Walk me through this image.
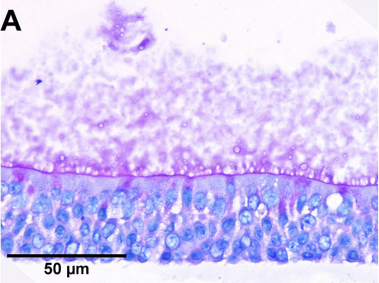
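A pale magenta, cell-free layer of secreted mucus lies on top, separated from the cells by a thin, darker magenta apical line. Below, the epithelium is several cells thick with navy, oval nuclei crowded at different heights.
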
